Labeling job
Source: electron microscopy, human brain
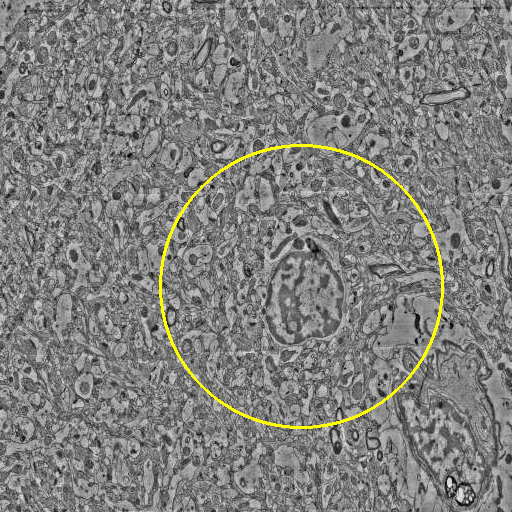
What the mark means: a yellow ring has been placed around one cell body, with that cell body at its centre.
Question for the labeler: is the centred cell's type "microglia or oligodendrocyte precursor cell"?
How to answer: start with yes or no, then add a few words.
Yes, that is its type.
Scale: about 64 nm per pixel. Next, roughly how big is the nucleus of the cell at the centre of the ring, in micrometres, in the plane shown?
In this plane, the nucleus is roughly 6 by 5 micrometres.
